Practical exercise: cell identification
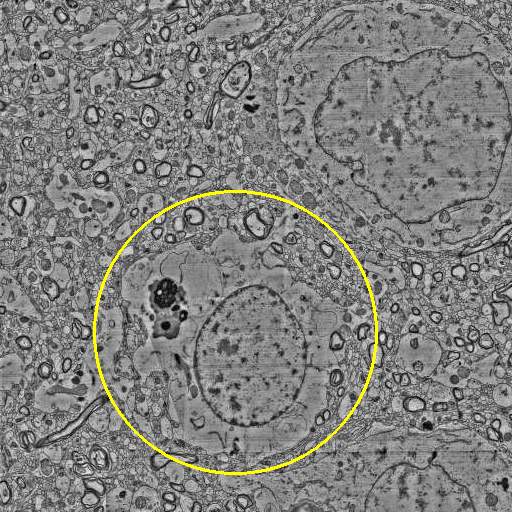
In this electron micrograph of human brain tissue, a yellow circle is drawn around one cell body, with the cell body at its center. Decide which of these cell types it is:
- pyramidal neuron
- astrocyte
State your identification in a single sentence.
The ringed cell is an astrocyte.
